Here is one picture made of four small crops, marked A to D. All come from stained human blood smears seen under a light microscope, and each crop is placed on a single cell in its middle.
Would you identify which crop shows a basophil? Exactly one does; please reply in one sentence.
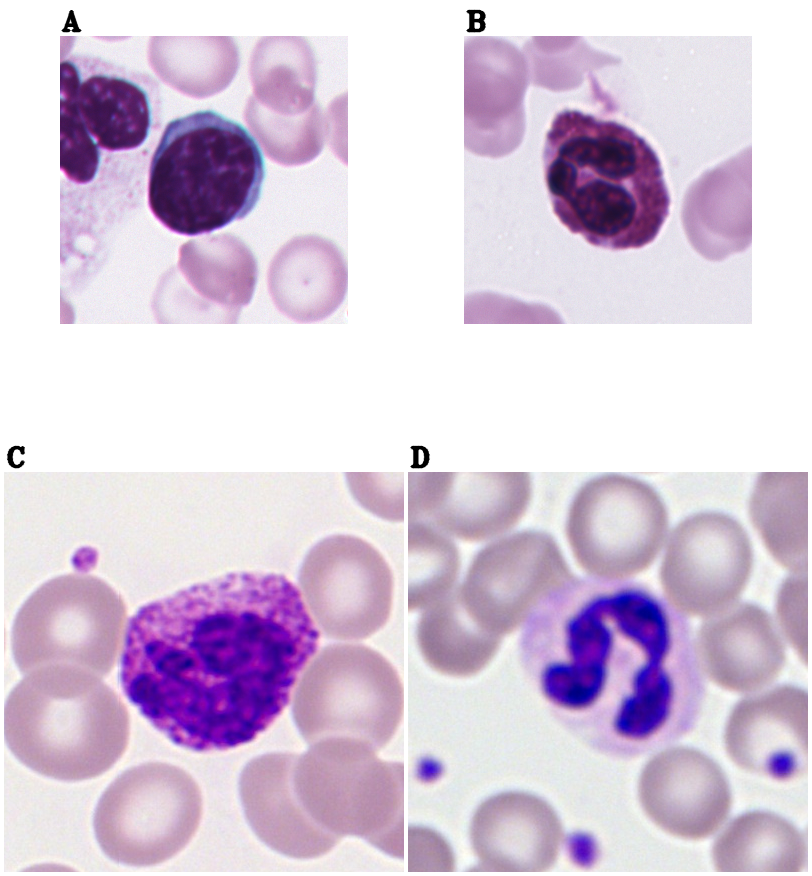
It is crop C, not any other, that shows a basophil.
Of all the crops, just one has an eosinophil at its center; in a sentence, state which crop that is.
The one crop in the set with an eosinophil is crop B.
